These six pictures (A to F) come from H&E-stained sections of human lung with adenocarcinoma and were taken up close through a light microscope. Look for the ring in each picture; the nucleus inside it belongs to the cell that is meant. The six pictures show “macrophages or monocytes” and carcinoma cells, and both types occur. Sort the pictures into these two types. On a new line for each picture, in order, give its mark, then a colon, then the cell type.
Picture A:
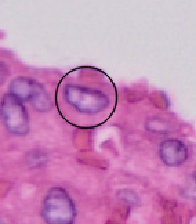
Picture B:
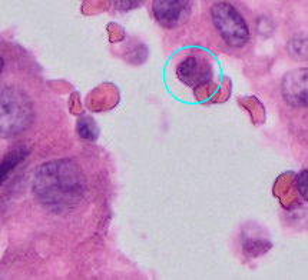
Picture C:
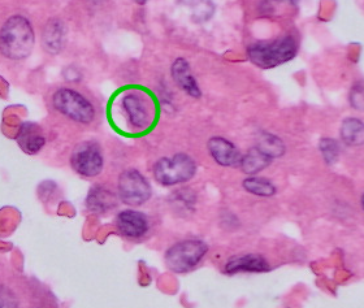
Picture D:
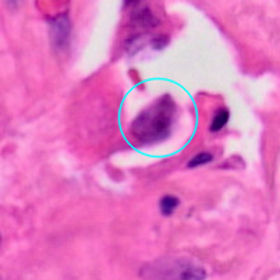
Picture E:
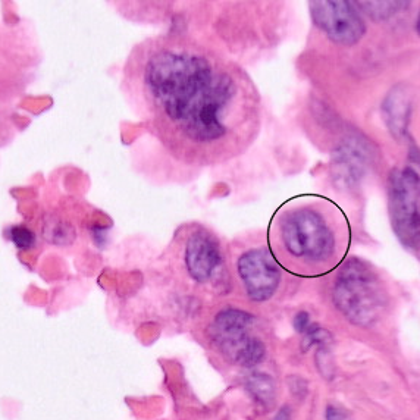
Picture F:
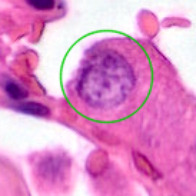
A: macrophage or monocyte
B: macrophage or monocyte
C: macrophage or monocyte
D: carcinoma cell
E: carcinoma cell
F: carcinoma cell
